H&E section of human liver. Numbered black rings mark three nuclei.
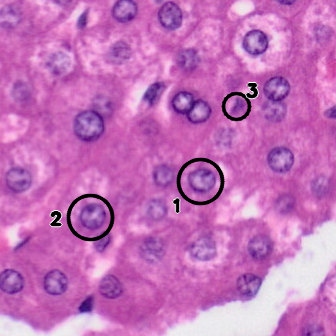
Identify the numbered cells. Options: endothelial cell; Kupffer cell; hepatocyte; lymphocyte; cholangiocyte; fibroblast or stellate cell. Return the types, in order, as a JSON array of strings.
["hepatocyte", "hepatocyte", "endothelial cell"]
